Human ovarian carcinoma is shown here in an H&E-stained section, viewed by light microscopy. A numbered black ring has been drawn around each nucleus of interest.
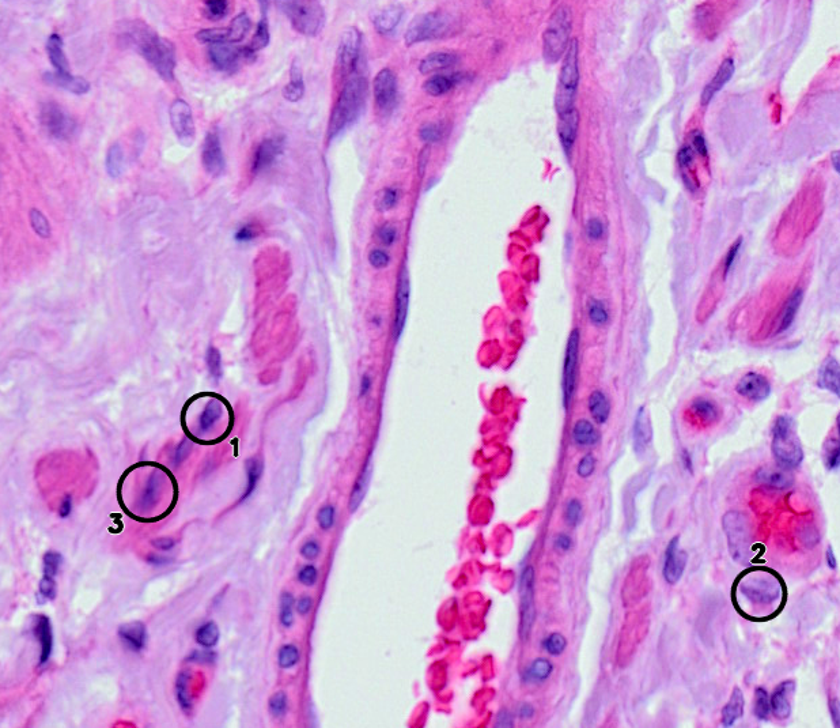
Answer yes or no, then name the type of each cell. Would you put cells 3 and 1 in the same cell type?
Yes, both are smooth muscle cells.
